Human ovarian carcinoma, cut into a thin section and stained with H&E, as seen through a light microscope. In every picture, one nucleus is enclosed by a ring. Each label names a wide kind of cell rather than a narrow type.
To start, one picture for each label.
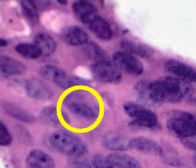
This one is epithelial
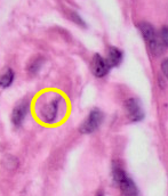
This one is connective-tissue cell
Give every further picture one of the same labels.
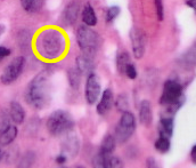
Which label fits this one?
epithelial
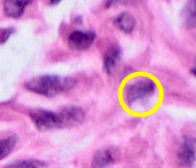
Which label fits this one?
connective-tissue cell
